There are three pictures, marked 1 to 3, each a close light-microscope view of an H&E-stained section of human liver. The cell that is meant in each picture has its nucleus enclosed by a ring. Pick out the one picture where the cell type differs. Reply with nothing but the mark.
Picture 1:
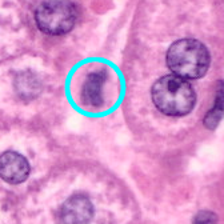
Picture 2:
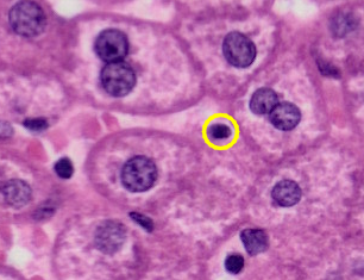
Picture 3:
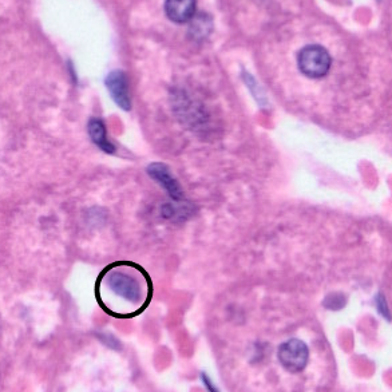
2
